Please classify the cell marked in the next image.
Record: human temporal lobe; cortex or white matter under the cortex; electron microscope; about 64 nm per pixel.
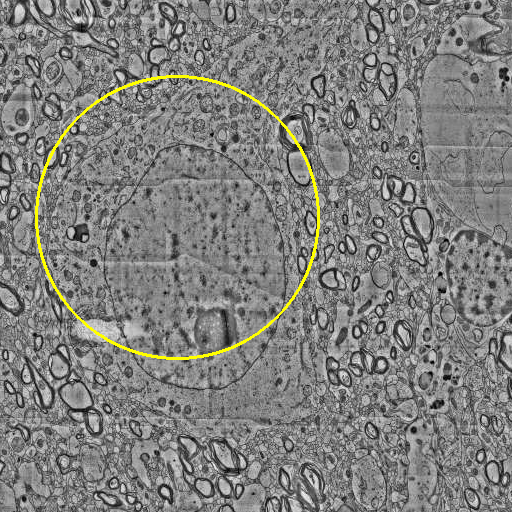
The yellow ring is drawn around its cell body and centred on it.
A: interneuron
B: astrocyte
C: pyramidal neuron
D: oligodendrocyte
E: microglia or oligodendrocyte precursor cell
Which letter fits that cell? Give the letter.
C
